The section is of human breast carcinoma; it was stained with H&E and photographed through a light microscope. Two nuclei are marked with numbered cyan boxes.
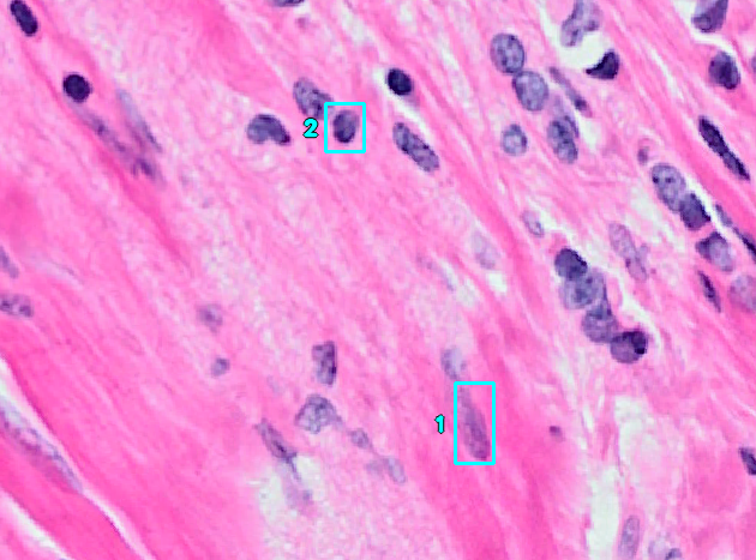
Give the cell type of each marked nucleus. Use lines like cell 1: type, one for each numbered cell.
cell 1: fibroblast
cell 2: lymphocyte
